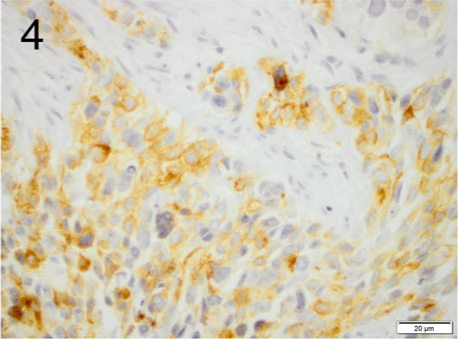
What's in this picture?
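Sheets and nests of tumour cells lie in a pale fibrous stroma with slender spindle-shaped nuclei. Most tumour cells carry brown stain along their outer borders, giving a net-like pattern around the cells, with some cells stained more intensely throughout.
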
